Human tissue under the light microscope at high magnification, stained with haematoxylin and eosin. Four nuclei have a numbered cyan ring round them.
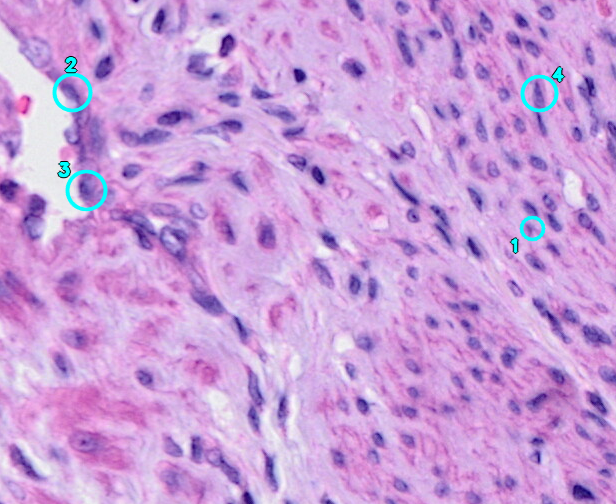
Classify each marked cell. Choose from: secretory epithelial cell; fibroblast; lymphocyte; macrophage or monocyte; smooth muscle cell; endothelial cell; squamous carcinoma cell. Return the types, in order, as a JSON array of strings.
["smooth muscle cell", "endothelial cell", "endothelial cell", "smooth muscle cell"]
